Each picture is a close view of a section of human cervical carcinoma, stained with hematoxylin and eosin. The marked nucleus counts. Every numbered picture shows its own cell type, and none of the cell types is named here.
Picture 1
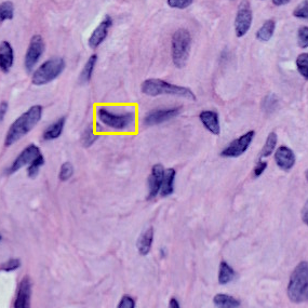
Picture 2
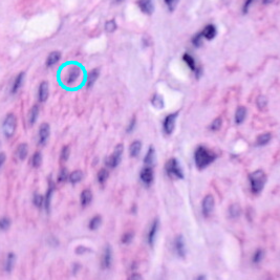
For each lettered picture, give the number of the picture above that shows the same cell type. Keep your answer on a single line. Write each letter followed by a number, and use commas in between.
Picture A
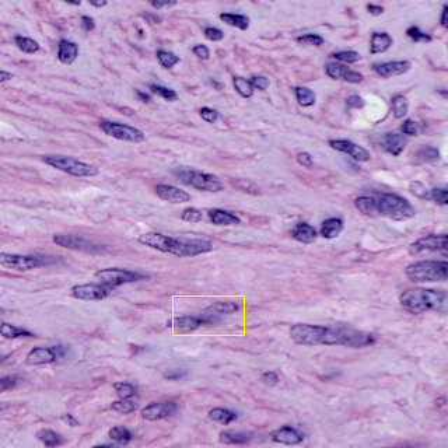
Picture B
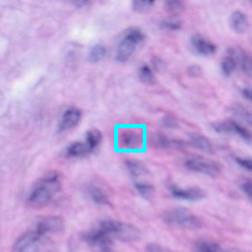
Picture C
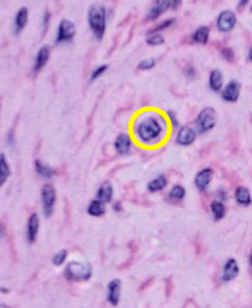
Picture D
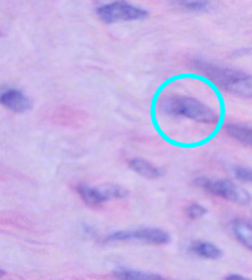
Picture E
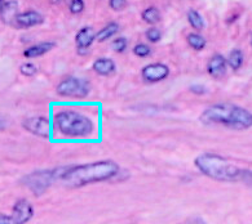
A 2, B 2, C 2, D 2, E 2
